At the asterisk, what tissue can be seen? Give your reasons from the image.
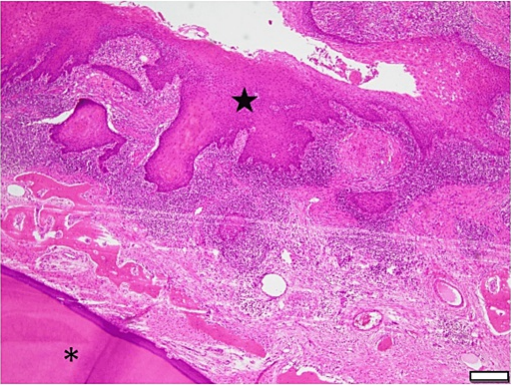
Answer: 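The asterisk lies in a homogeneous, acellular pink hard tissue at the lower left. This hard tissue has a smooth curved border and no cells or spaces within it. On this evidence: tooth.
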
